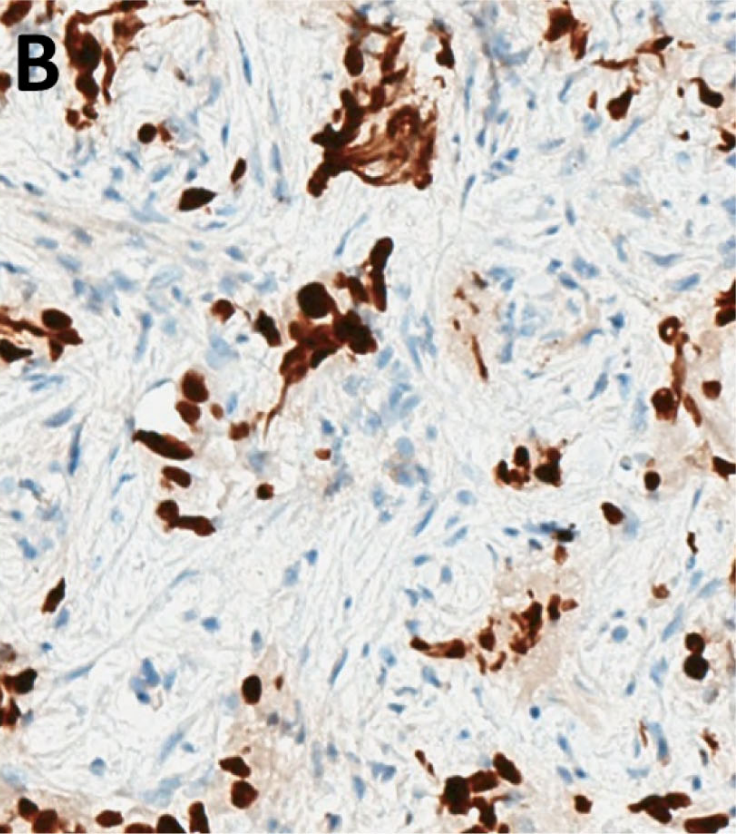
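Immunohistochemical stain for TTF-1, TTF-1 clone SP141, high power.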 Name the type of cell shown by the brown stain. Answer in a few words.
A: tumor cells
